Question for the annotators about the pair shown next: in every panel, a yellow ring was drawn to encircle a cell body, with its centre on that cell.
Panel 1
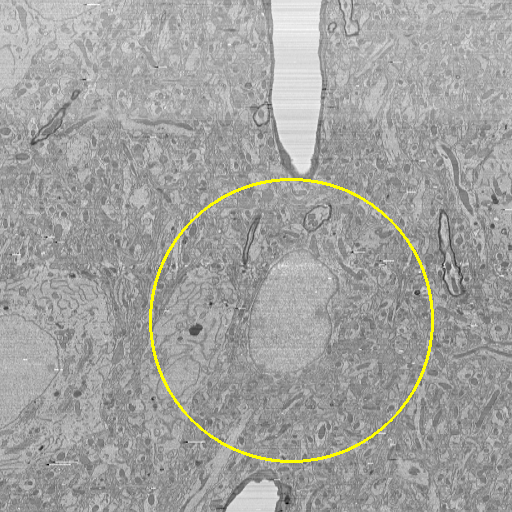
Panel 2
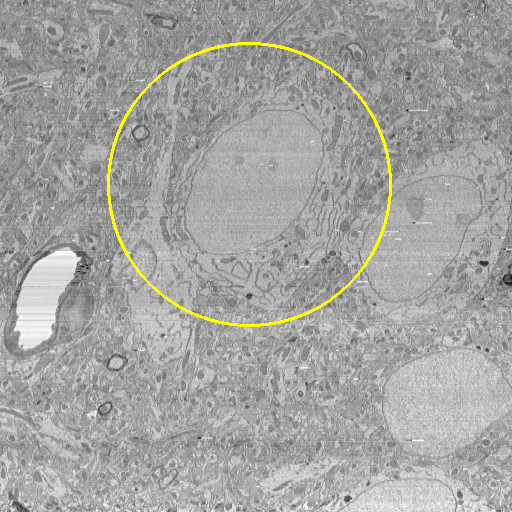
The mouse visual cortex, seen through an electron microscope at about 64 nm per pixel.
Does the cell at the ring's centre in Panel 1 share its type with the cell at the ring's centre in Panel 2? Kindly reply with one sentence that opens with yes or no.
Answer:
No, in Panels 1 and 2 the cells at the ring centres belong to separate types.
